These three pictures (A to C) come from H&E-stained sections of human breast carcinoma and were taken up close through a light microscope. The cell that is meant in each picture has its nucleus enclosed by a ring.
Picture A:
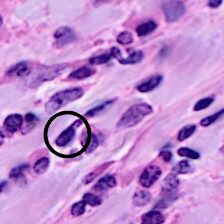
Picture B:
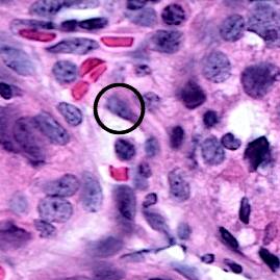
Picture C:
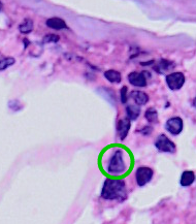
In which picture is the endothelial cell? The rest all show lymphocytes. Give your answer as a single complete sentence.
It is picture B that shows the endothelial cell.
